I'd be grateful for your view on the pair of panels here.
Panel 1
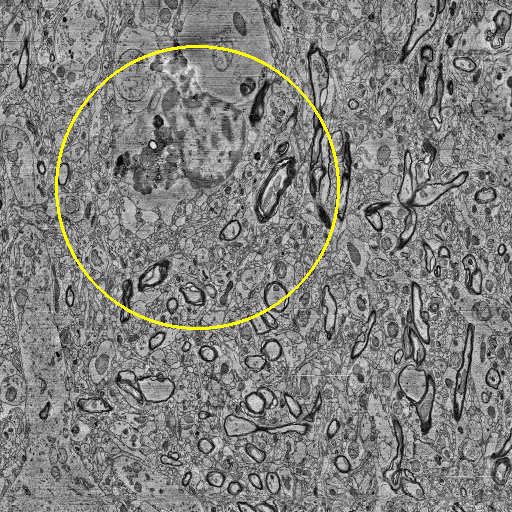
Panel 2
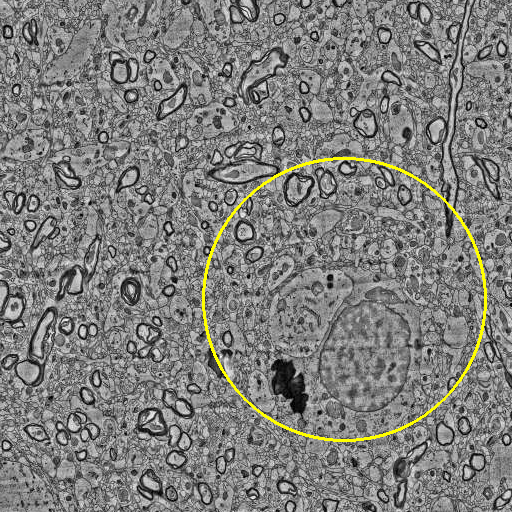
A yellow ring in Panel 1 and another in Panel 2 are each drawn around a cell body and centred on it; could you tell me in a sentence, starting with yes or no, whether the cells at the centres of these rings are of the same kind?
Yes, they are the same kind of cell.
